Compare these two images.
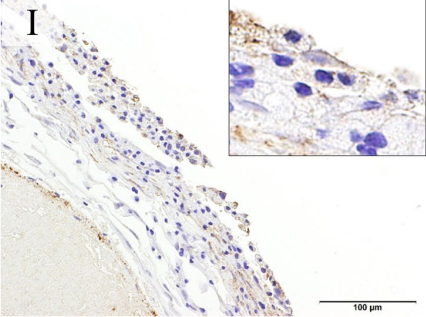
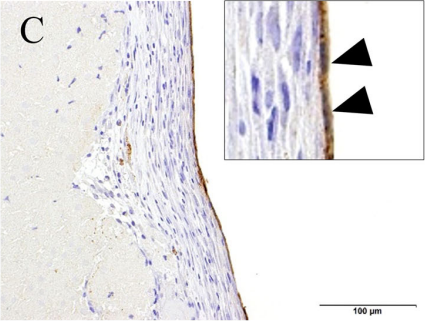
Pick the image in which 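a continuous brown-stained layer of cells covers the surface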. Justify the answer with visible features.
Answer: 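First image: the tissue is split into loose strands with only patchy, scattered brown granules and no unbroken brown lining along a surface. Second image: a thin, unbroken brown line runs along the whole outer edge of the fibrous band. So: the second image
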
